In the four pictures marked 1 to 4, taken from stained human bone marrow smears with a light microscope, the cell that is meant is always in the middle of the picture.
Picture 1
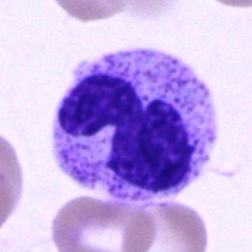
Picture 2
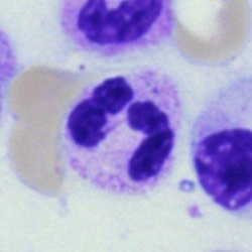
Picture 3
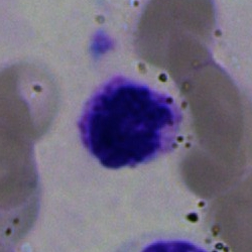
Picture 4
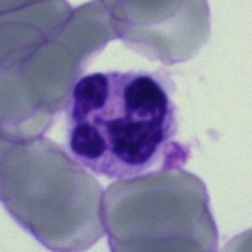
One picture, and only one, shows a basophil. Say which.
3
